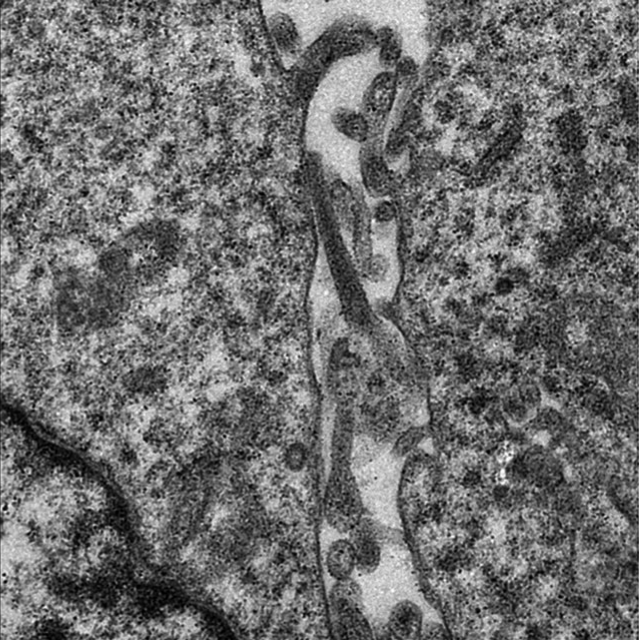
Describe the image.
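This higher-magnification electron micrograph shows the boundary between two adjacent cells. Granular cytoplasm fills both sides of the image, and part of a nuclear envelope curves through the lower left corner. In the middle, the plasma membranes of the two cells run close together, enclosing a narrow pale space. Within this space, slender, folded cell processes interdigitate and are cut in various planes.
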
